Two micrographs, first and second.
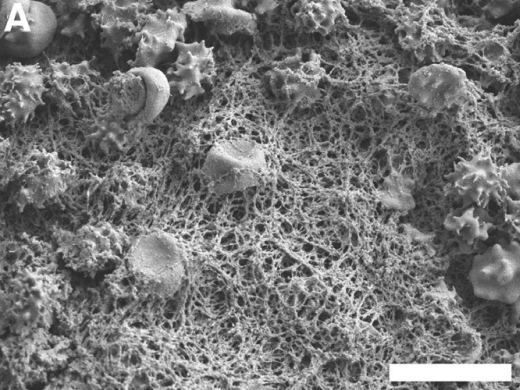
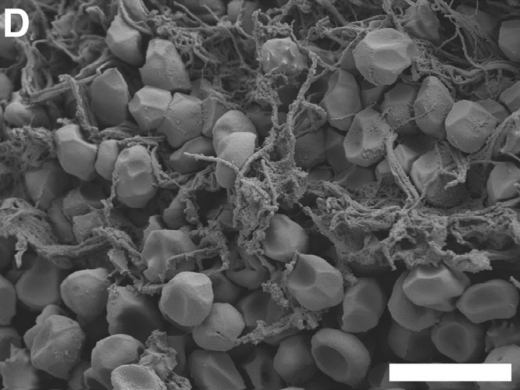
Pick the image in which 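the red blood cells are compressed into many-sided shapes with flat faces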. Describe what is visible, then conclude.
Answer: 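The second image. Second image: tightly packed cells with flat faces and sharp edges. First image: scattered spiky or rounded cells lying on a fine fibre network, none many-sided.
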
